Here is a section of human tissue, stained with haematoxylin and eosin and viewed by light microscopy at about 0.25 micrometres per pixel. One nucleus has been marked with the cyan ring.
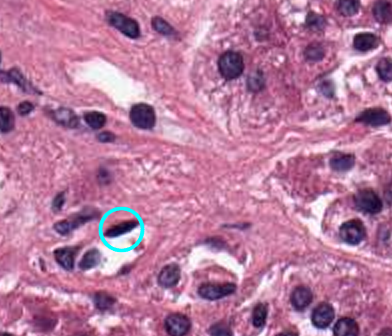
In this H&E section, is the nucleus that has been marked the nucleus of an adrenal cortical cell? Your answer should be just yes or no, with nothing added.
no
